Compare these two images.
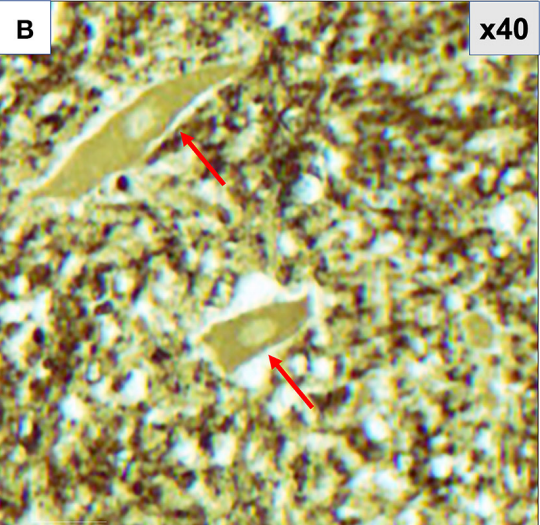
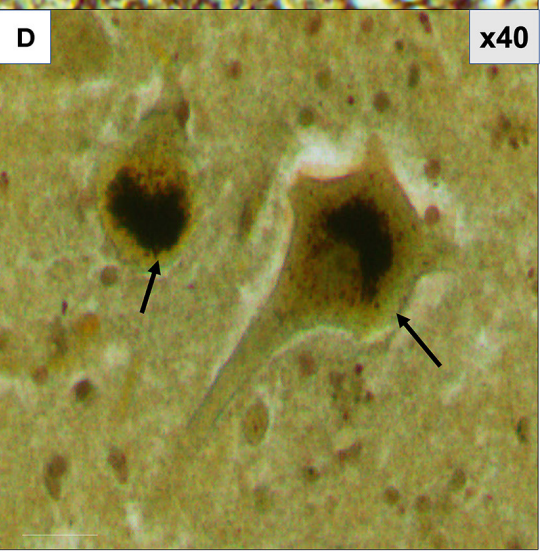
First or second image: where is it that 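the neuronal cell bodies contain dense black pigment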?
The second image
